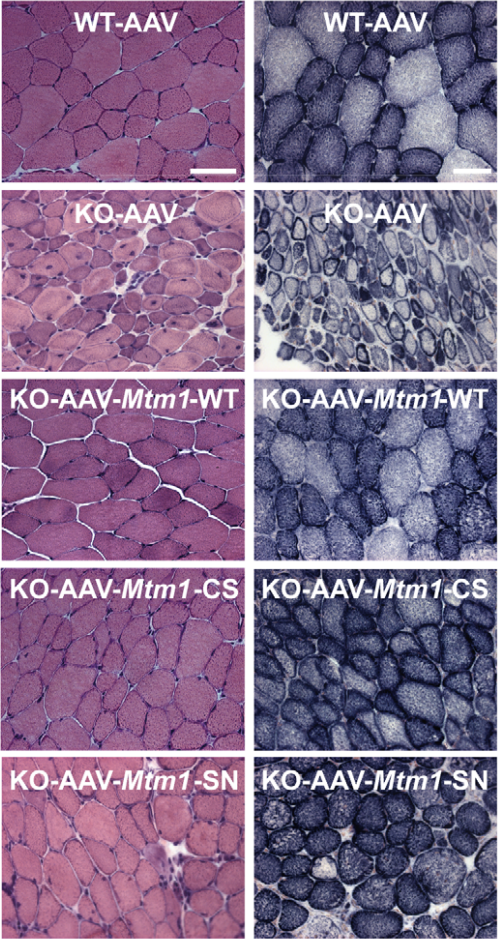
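These are transverse sections of skeletal muscle, with the myofibers cut across as polygonal pink profiles on the left and blue-purple profiles of varying darkness on the right. In most rows the fibers are large and closely packed, with their nuclei lying at the edge of the fibers. In the second row the fibers are much smaller and rounder, with more space and pink connective tissue between them, and many carry a nucleus in the middle of the fiber. In the matching blue-stained image of that row the small fibers show dark rims and dark, uneven staining inside, unlike the more even mosaic of pale and dark fibers in the top row. The lower three rows have larger fibers again, with a more even pattern of blue staining.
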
